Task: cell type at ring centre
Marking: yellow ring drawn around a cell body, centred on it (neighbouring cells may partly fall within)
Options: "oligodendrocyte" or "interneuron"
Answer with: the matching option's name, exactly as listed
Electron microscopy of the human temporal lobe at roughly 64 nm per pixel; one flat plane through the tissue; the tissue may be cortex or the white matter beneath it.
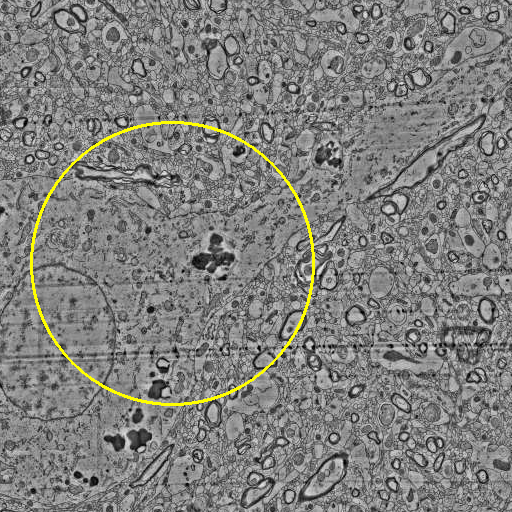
oligodendrocyte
